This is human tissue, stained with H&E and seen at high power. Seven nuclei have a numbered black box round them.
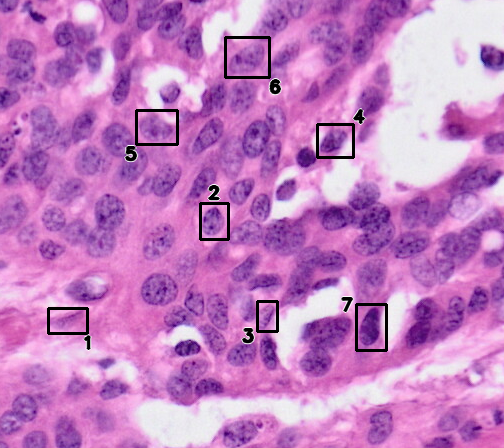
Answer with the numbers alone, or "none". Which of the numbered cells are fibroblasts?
1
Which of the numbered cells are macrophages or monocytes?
2, 3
